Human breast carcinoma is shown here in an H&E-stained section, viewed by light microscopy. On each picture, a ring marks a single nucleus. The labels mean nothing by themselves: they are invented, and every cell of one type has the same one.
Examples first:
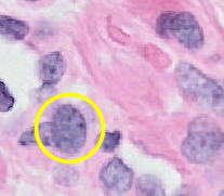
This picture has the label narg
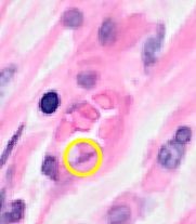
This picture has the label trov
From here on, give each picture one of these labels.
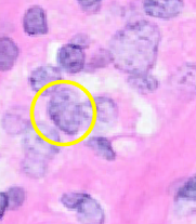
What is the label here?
narg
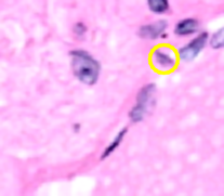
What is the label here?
trov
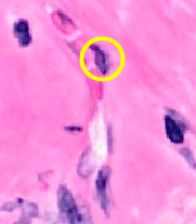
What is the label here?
trov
